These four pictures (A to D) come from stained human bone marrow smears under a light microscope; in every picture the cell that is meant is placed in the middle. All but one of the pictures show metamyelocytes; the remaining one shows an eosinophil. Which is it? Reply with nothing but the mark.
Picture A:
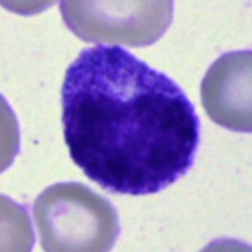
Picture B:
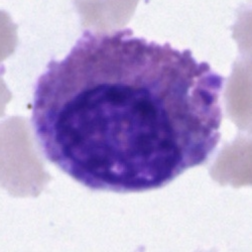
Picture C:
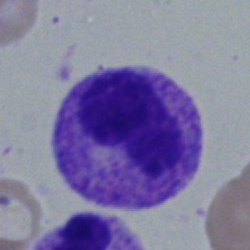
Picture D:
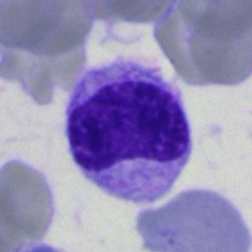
B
